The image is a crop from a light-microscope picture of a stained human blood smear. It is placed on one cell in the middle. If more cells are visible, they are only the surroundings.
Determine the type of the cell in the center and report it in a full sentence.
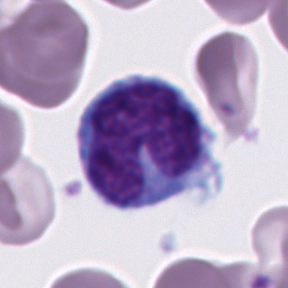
Here the centrally located cell is a monocyte.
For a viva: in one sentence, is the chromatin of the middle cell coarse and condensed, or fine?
Heads up, the chromatin in this one is coarsely clumped.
